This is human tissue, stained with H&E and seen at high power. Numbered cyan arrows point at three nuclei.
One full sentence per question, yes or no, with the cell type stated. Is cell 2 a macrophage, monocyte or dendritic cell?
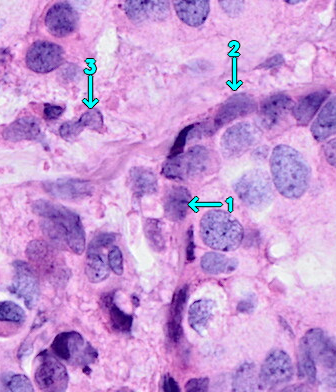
No, number 2 is assigned to a carcinoma cell, not to a macrophage, monocyte or dendritic cell.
